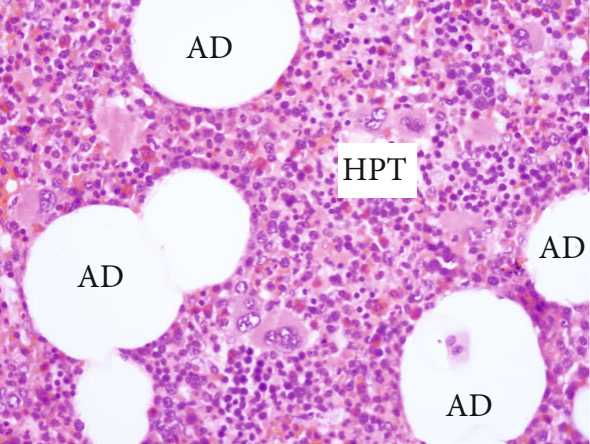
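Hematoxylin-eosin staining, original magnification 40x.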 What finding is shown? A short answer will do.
Myelolipoma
